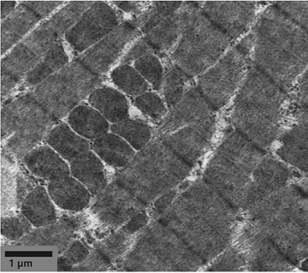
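Cardiomyocyte cytoplasm at high magnification. Myofibrils run in regular parallel rows, crossed by sharp dark transverse Z-bands at even spacing, giving a clear striated pattern. Between the myofibril bundles lie rows of closely packed oval to rectangular mitochondria with dark, dense matrix and tightly arranged cristae filling the whole interior. Narrow pale clefts separate mitochondria from the contractile bundles. The arrangement of myofibrils and mitochondria is orderly throughout the field, with no pale or swollen organelles evident.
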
